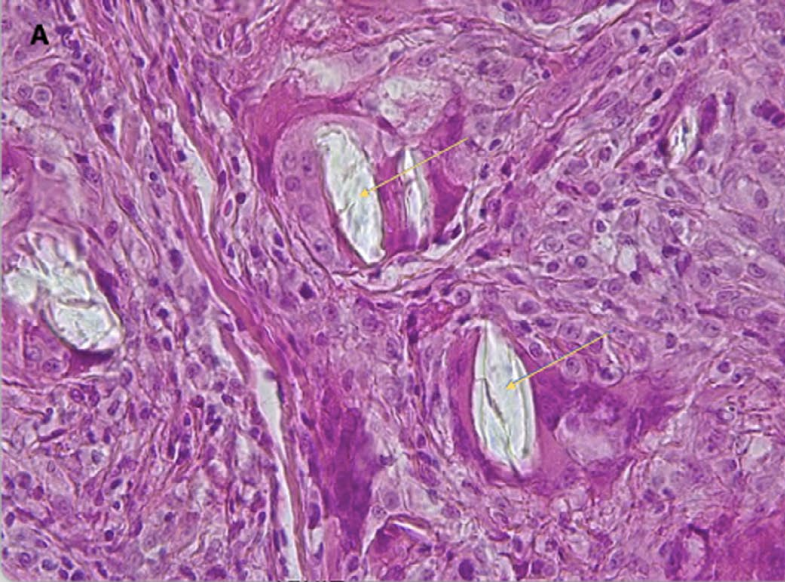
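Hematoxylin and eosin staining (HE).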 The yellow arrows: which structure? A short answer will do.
refringent crystals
